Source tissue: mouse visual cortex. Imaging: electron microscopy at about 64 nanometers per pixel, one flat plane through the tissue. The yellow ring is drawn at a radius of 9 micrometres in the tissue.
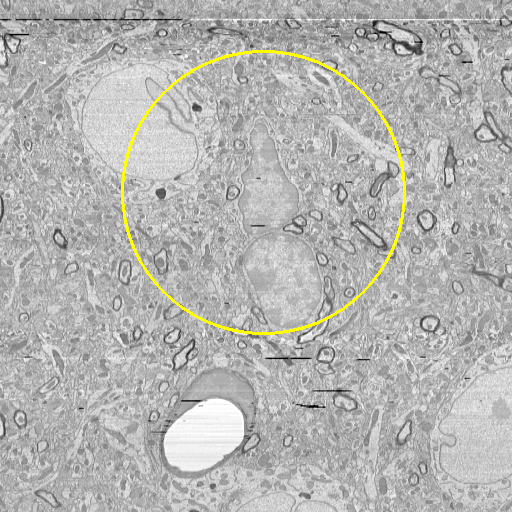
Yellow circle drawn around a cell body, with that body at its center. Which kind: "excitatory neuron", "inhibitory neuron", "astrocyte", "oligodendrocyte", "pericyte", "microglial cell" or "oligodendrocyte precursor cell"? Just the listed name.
microglial cell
